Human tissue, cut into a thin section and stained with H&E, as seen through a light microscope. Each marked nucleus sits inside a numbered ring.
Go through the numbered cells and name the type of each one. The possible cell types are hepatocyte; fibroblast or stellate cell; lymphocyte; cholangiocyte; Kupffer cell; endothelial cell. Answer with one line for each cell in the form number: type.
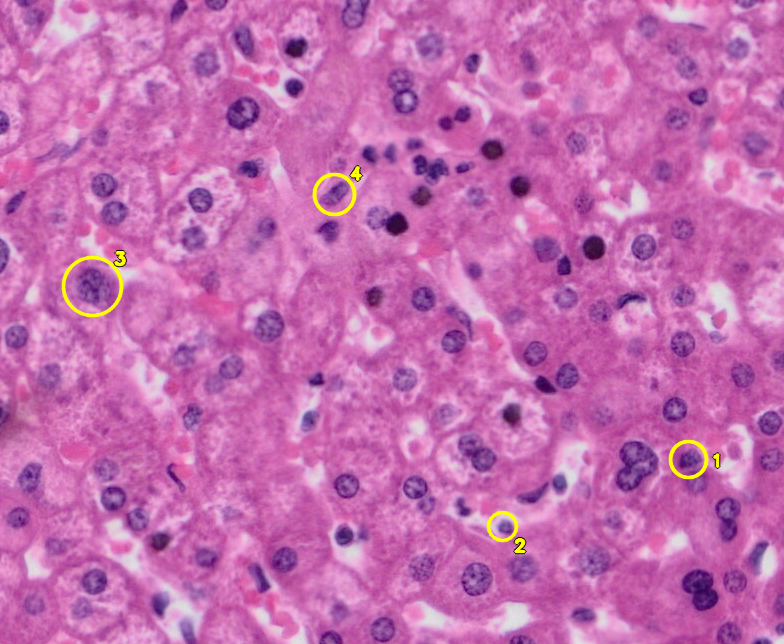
1: fibroblast or stellate cell
2: lymphocyte
3: hepatocyte
4: Kupffer cell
